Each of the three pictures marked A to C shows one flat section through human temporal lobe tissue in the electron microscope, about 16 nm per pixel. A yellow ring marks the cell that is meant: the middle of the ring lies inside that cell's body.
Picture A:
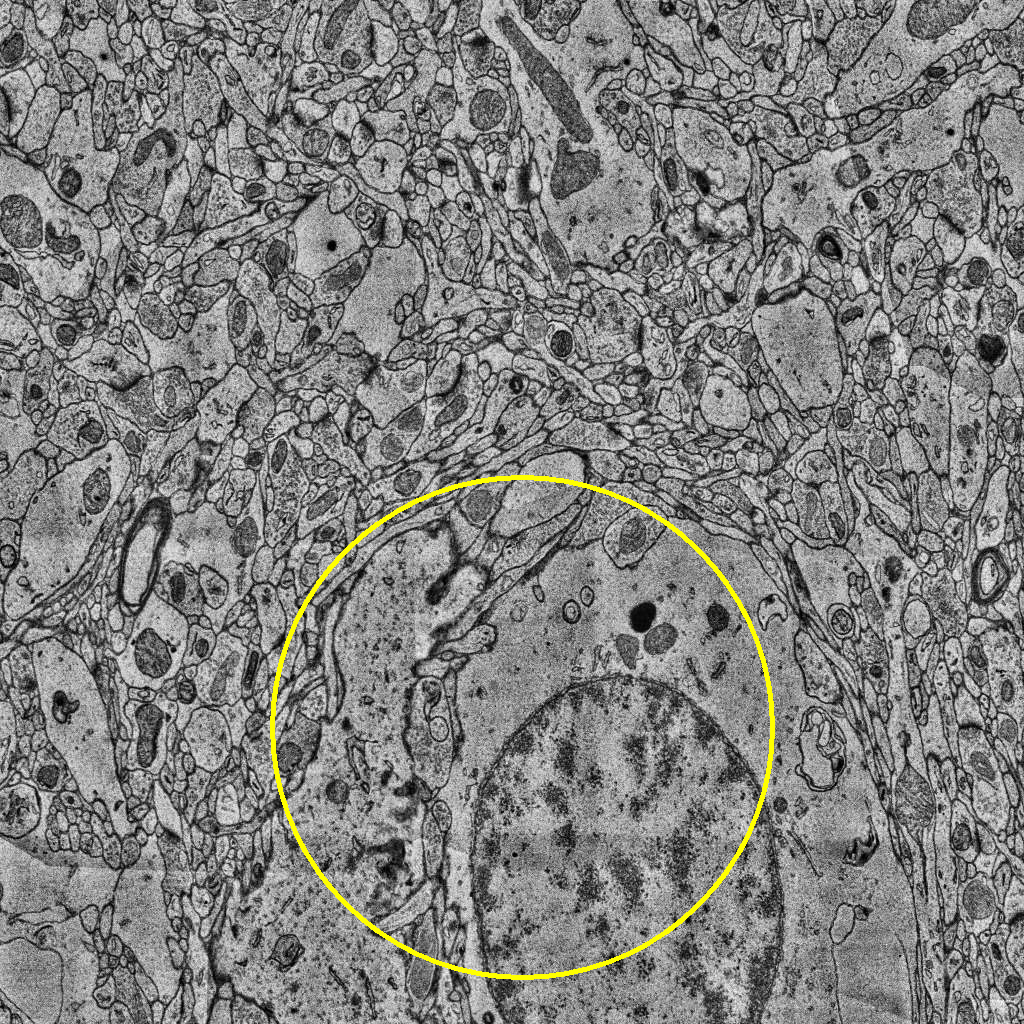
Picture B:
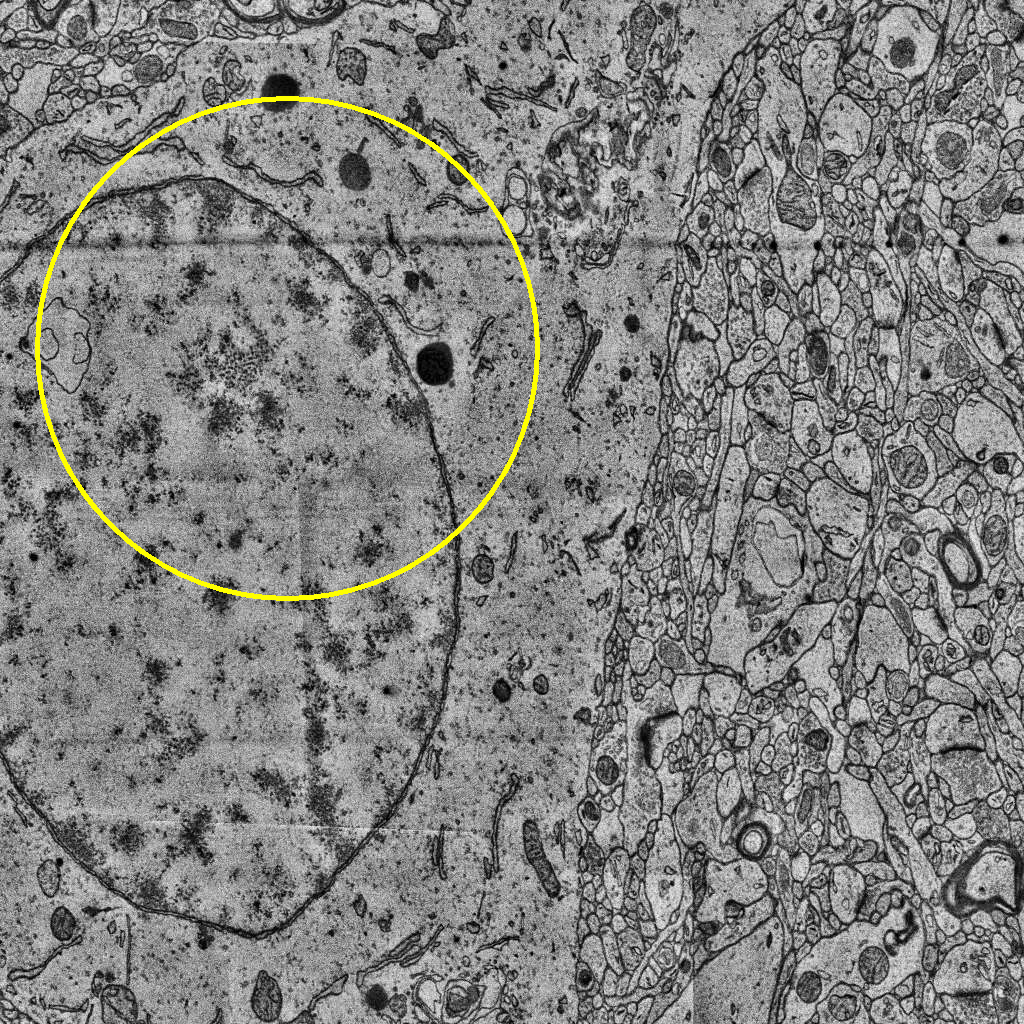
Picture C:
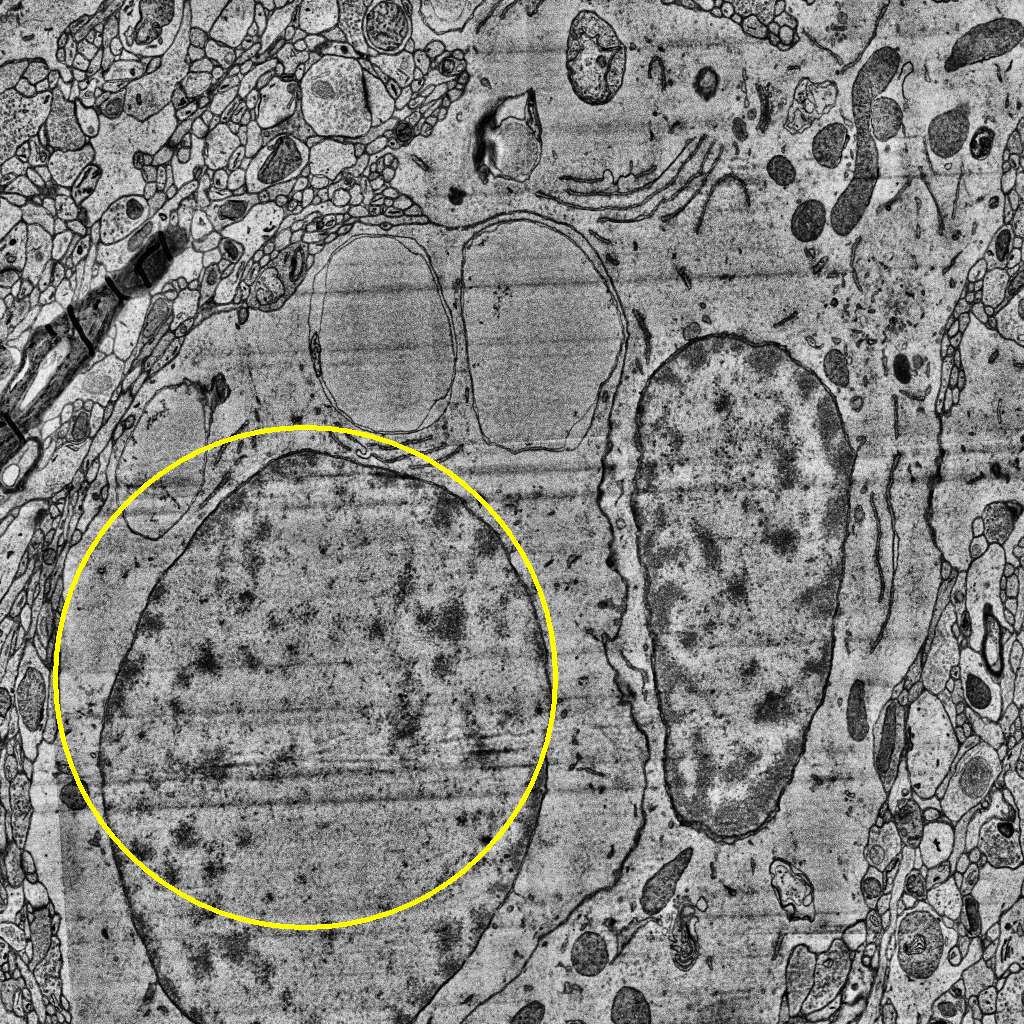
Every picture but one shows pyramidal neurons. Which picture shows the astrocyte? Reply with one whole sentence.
The cell in picture C is the astrocyte.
